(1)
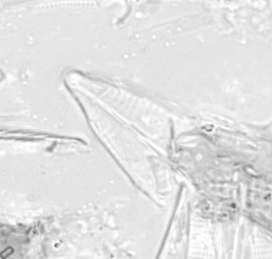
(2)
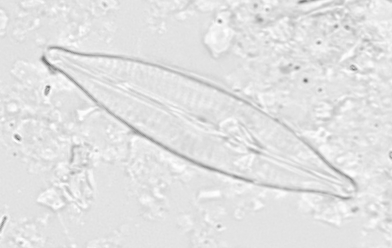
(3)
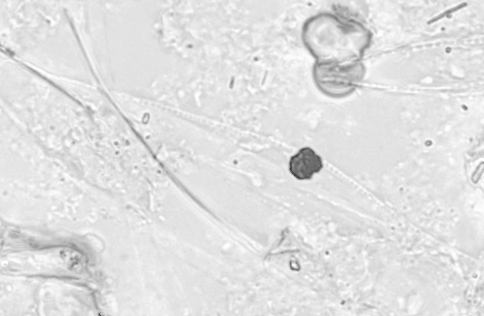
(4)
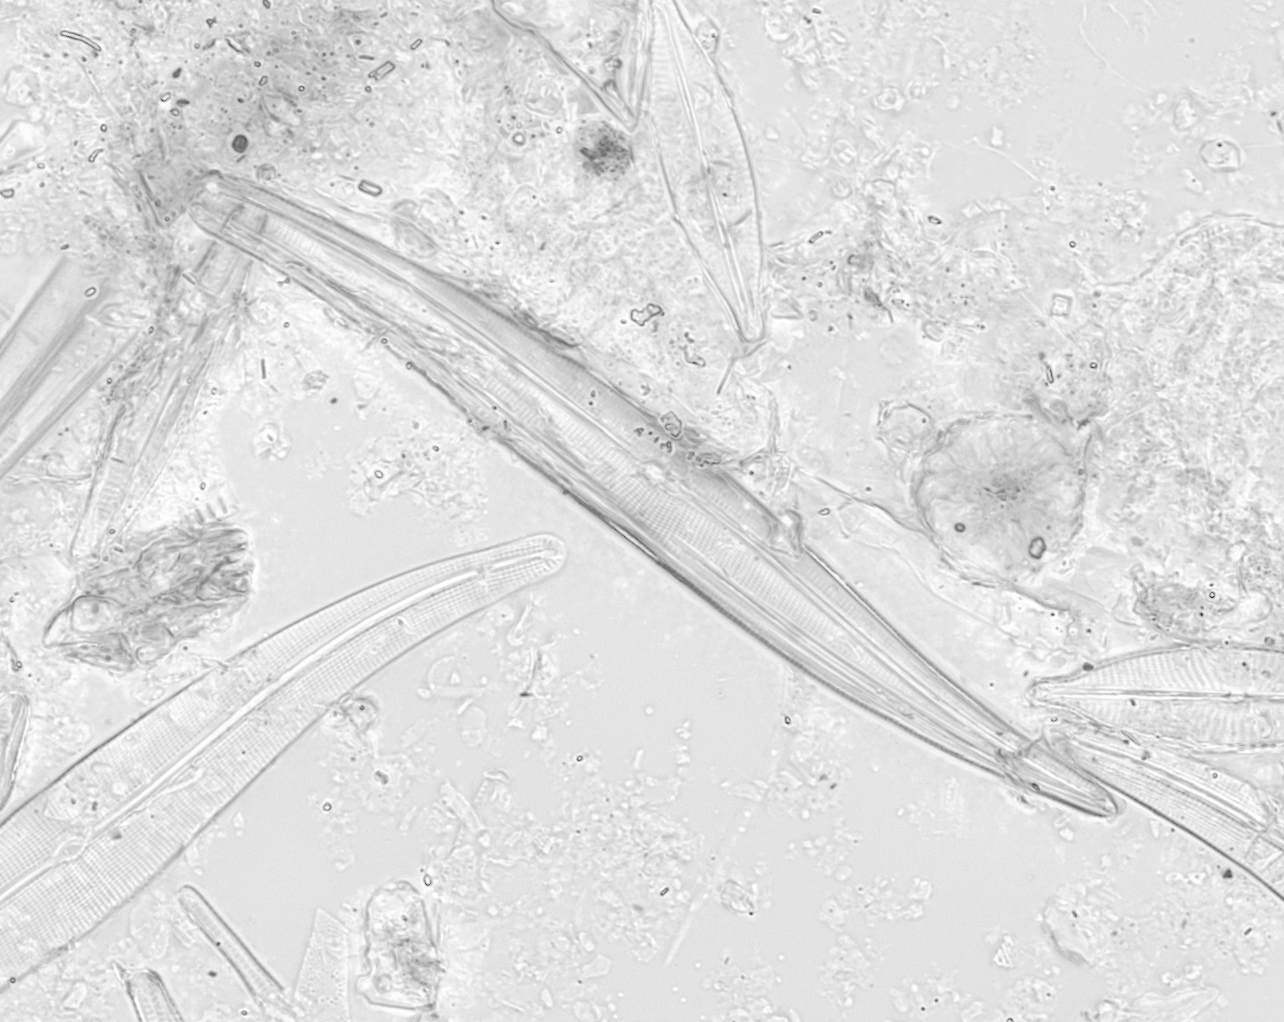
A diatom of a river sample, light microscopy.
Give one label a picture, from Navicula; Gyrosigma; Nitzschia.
1. Navicula
2. Navicula
3. Nitzschia
4. Gyrosigma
